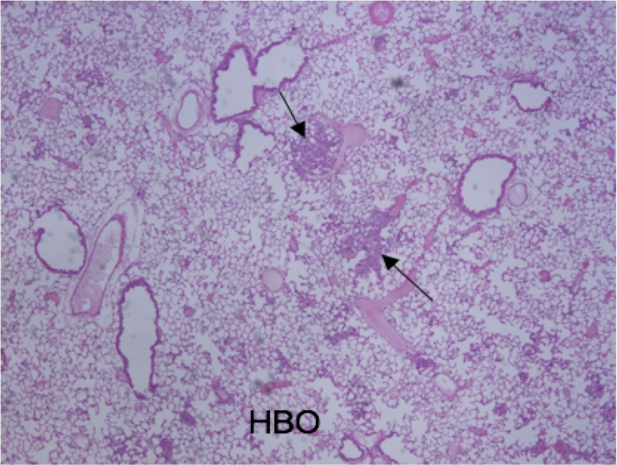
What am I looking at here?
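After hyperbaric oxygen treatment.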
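This is lung tissue at low power. It is mostly an open, fine lacework of thin-walled alveolar spaces, with several larger airways whose walls are lined by a purple epithelium and with round pink vessels. Two arrows point to small, dense, purple clusters of packed cells lying beside an airway and among the alveoli. These clusters fill in only a small area of the surrounding air spaces.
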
